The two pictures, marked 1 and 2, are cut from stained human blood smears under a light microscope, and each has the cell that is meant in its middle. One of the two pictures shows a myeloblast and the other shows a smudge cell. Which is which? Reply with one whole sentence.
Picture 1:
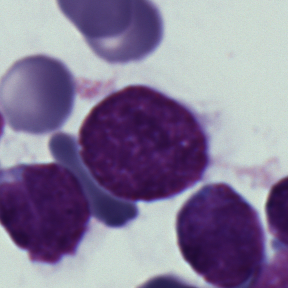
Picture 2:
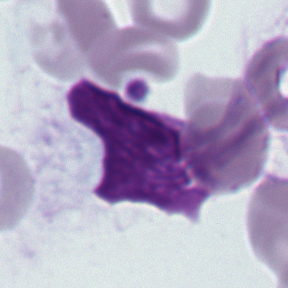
The cell in picture 1 is a myeloblast, and the one in picture 2 is a smudge cell.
